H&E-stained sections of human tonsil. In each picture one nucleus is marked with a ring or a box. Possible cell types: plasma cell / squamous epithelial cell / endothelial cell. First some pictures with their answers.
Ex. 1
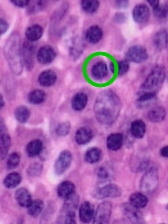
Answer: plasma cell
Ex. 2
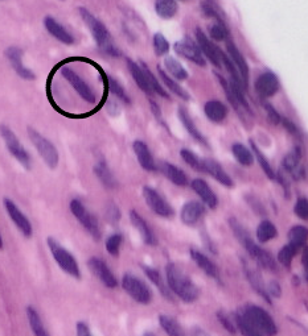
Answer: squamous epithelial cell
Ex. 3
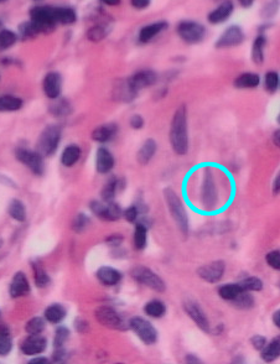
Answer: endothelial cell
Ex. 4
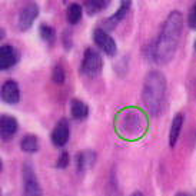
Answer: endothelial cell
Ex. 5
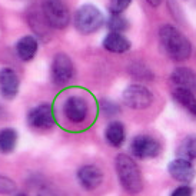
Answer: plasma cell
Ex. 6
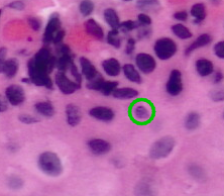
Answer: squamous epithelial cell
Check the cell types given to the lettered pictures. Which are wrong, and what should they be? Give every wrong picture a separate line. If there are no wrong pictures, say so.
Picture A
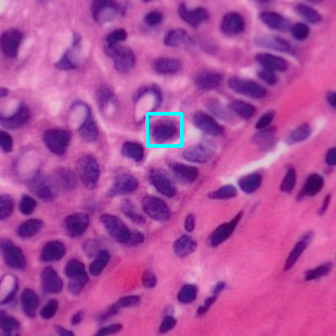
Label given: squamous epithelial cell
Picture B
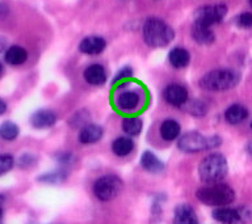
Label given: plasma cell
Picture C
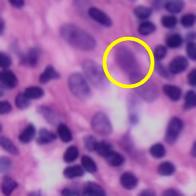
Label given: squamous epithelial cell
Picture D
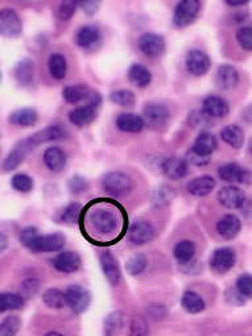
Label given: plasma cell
C: endothelial cell, not squamous epithelial cell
